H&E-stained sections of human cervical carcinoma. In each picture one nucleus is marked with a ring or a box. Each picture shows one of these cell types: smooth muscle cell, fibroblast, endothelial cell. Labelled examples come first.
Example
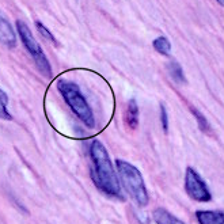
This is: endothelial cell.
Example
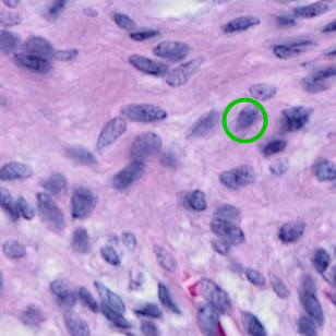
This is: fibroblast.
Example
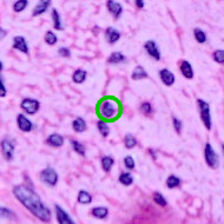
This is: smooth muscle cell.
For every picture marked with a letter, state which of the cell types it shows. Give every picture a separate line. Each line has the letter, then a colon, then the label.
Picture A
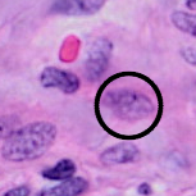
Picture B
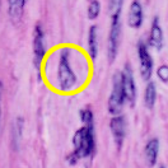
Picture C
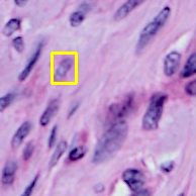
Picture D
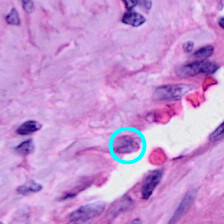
A: endothelial cell.
B: fibroblast.
C: smooth muscle cell.
D: endothelial cell.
